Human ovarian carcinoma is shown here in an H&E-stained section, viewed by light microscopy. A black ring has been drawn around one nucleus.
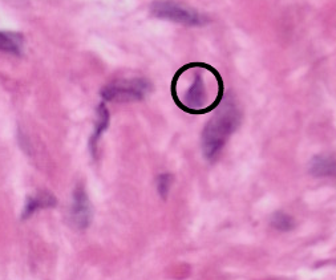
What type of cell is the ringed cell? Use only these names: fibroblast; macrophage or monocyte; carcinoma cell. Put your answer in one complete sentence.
The cell meant here is a fibroblast.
